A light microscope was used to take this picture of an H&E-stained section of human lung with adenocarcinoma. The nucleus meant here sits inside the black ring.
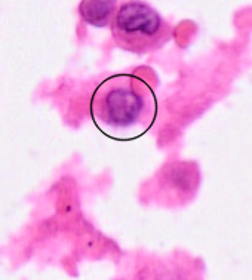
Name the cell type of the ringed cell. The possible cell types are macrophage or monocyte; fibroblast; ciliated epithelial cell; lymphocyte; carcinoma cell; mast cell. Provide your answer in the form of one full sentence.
Just put down that the ringed cell is a macrophage or monocyte.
